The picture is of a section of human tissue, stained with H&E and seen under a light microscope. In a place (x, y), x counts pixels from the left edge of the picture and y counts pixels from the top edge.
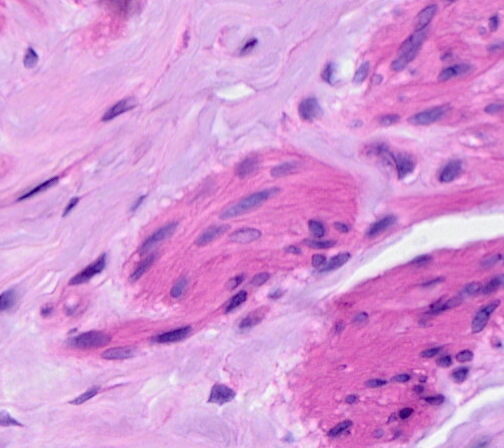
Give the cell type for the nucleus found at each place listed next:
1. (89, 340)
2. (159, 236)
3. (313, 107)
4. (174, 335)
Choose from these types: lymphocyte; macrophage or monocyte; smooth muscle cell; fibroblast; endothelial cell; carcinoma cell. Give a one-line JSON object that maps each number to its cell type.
{"1": "smooth muscle cell", "2": "smooth muscle cell", "3": "fibroblast", "4": "smooth muscle cell"}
